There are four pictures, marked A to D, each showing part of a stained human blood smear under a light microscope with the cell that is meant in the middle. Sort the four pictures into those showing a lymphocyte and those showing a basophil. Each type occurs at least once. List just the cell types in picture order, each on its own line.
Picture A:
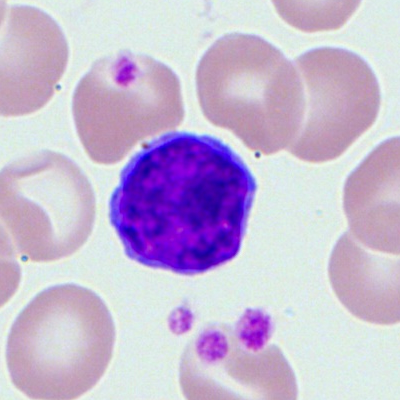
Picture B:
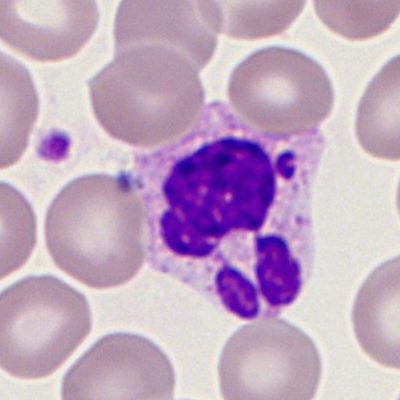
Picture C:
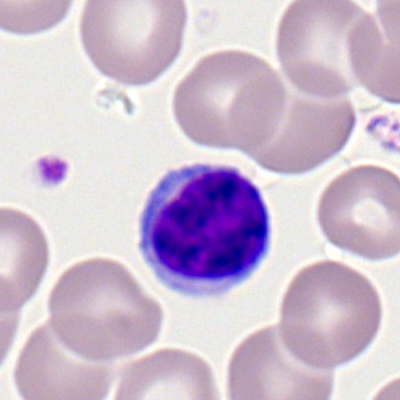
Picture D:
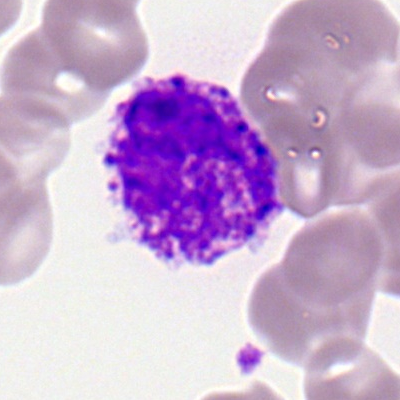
lymphocyte
basophil
lymphocyte
basophil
